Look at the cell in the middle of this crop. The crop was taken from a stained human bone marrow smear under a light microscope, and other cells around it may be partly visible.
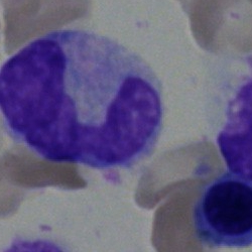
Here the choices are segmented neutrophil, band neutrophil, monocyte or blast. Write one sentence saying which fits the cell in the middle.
Regarding the central cell, it is a monocyte.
